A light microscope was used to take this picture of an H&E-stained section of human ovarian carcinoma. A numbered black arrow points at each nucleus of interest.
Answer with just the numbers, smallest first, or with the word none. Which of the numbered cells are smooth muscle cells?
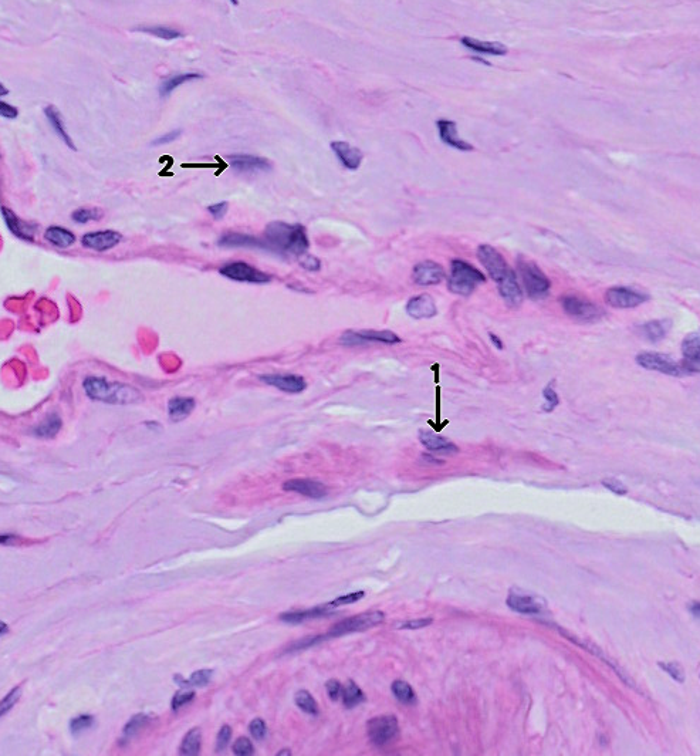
1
